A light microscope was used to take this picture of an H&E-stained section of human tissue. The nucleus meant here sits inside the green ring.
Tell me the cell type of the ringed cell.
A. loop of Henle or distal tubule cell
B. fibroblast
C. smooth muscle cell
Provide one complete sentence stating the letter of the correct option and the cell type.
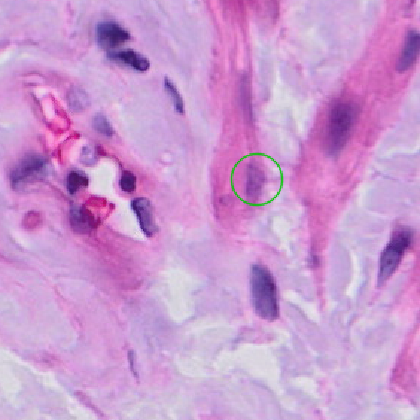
Option C is the right choice, for the ringed cell is a smooth muscle cell.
